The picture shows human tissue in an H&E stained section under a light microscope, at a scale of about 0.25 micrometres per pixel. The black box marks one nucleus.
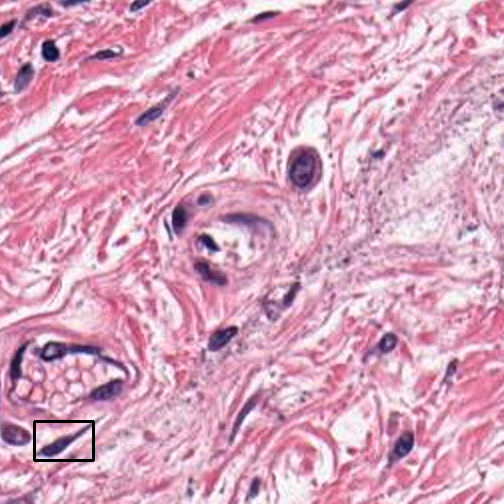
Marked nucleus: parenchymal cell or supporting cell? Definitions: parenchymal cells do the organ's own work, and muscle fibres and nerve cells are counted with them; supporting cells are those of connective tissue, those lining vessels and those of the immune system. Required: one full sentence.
A supporting cell is the cell in which the marked nucleus is found.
